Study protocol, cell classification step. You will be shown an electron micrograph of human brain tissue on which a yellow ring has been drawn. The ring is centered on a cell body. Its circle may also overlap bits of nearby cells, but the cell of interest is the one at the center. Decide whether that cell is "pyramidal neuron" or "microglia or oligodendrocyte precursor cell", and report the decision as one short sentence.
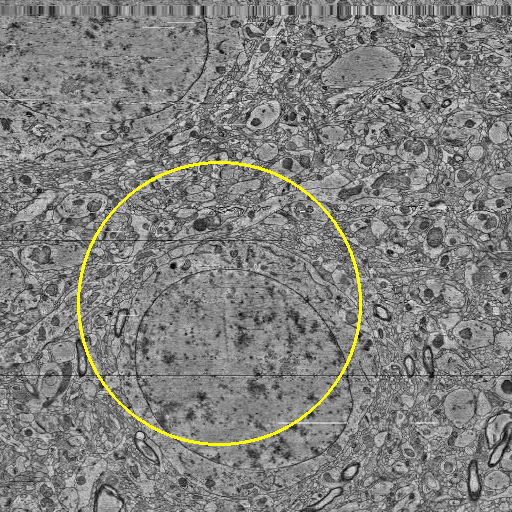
The marked cell is a pyramidal neuron.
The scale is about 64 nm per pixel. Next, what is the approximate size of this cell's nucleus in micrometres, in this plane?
In this plane the nucleus is about 15 micrometres by 13.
